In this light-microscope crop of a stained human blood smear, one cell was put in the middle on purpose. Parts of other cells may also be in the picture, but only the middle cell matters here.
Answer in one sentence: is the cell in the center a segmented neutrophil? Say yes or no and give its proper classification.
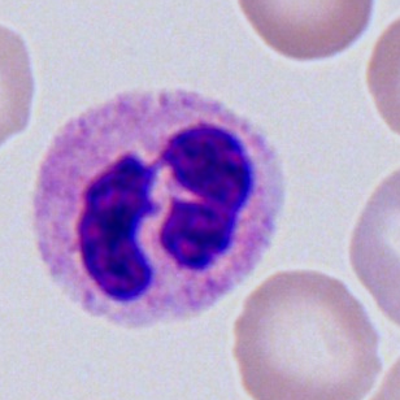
Yes, the one cell at the centre is a segmented neutrophil.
